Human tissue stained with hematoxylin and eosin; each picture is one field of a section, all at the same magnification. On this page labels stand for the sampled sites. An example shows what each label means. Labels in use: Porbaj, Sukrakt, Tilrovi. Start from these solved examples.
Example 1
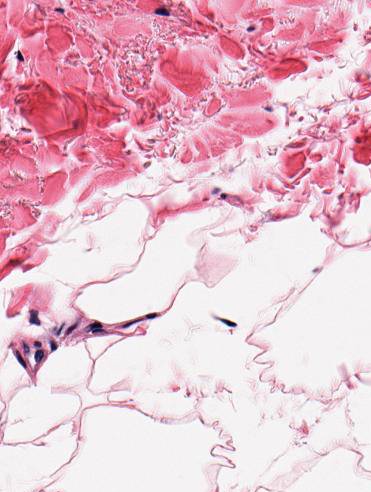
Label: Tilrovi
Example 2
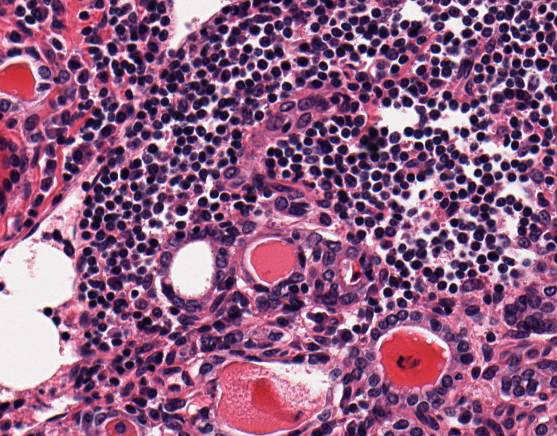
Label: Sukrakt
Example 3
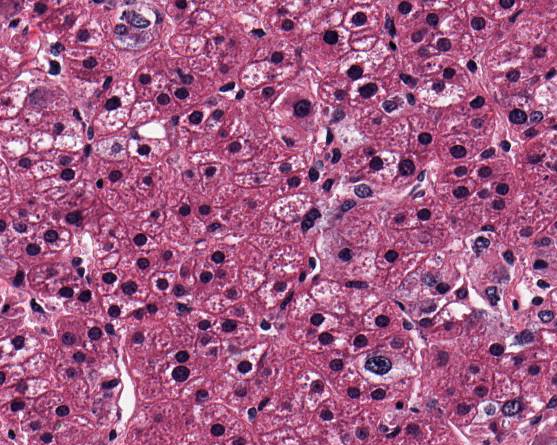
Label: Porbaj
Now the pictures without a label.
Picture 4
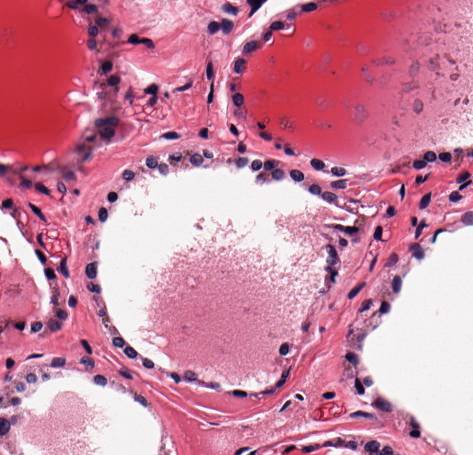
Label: Sukrakt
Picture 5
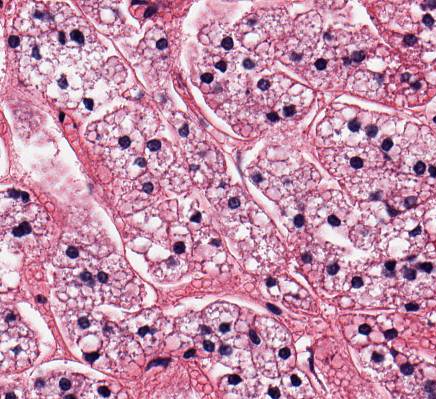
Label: Porbaj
